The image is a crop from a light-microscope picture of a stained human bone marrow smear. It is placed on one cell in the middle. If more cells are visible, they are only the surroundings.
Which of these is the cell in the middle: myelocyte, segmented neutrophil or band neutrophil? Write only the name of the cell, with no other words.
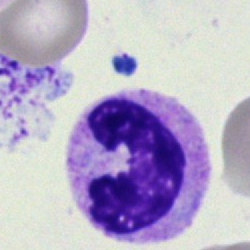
band neutrophil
